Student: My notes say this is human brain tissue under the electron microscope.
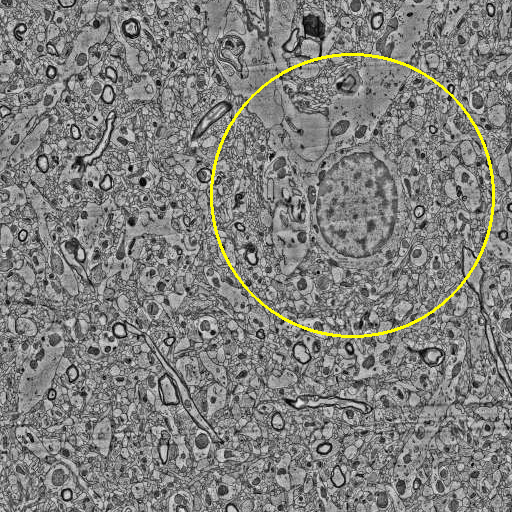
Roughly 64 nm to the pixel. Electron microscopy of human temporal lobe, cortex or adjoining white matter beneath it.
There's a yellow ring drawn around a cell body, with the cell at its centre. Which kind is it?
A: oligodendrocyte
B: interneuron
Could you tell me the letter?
A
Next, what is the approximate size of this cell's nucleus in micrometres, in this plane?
In this plane the nucleus measures roughly 7 by 5 micrometres.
